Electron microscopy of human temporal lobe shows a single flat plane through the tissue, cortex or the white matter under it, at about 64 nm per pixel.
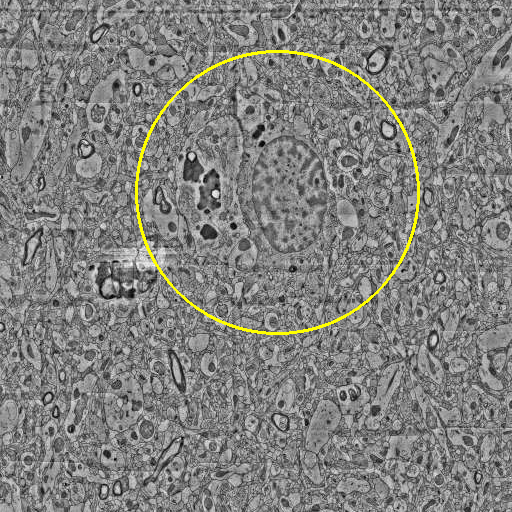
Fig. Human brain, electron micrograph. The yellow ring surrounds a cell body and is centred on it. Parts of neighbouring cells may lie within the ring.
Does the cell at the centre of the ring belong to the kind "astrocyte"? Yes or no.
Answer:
no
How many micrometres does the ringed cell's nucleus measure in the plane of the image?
The nucleus measures about 7 by 5 micrometres in this plane.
